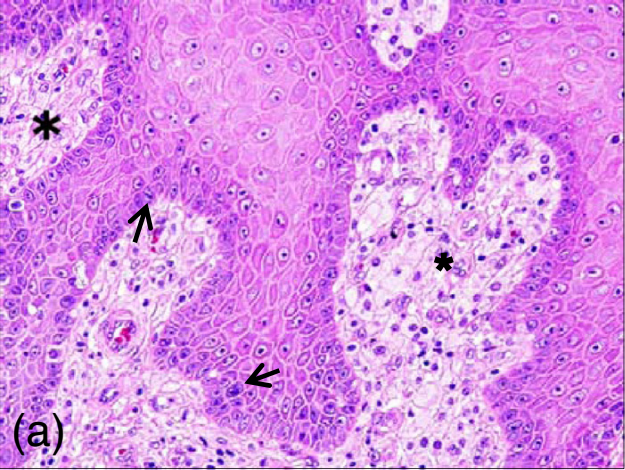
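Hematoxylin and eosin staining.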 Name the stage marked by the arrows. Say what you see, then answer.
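The arrows point to cells in the basal layer of the epithelium. The marked nuclei are dark and condensed compared with neighbouring nuclei.
Mitotic figures.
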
